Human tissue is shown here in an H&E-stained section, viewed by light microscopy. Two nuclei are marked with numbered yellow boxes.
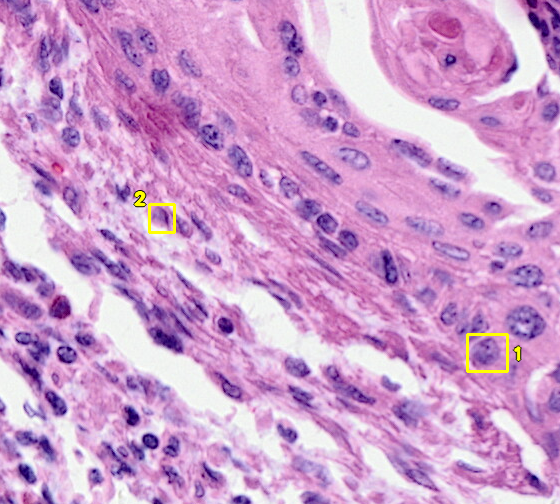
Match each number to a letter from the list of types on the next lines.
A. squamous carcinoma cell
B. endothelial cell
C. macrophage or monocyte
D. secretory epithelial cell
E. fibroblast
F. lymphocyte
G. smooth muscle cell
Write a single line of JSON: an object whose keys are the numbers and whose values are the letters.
{"1": "A", "2": "E"}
